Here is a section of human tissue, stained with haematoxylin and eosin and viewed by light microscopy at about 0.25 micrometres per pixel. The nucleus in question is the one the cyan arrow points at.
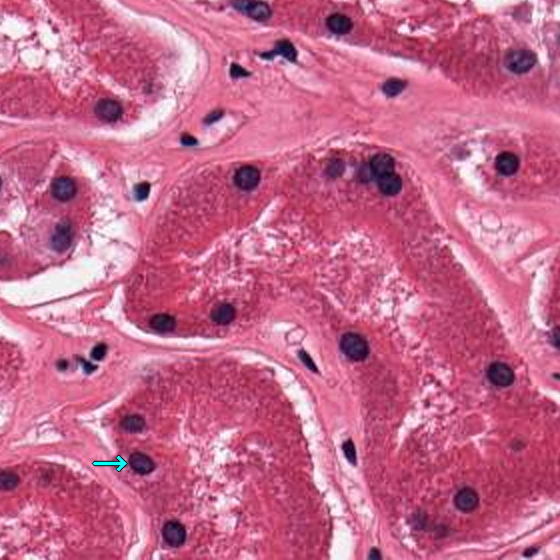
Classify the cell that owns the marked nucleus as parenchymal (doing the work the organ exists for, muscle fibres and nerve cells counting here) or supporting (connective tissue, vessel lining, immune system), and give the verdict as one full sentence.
A parenchymal cell, namely a proximal tubule cell, is the owner of the marked nucleus.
